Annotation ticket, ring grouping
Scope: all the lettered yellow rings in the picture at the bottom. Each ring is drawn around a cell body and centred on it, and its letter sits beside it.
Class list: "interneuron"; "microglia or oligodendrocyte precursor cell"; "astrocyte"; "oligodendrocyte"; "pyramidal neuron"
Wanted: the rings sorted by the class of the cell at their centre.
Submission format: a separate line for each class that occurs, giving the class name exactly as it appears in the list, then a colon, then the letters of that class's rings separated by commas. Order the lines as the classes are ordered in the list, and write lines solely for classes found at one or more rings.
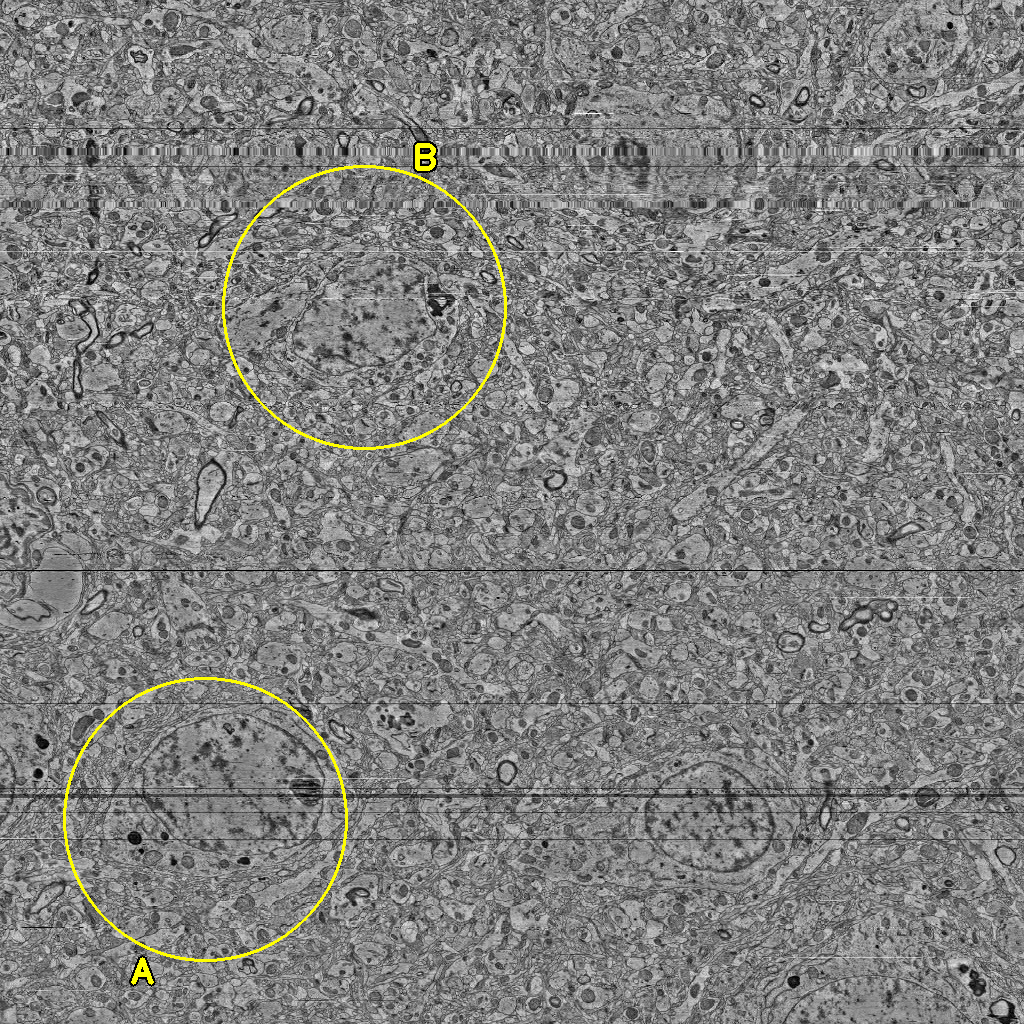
interneuron: B
pyramidal neuron: A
